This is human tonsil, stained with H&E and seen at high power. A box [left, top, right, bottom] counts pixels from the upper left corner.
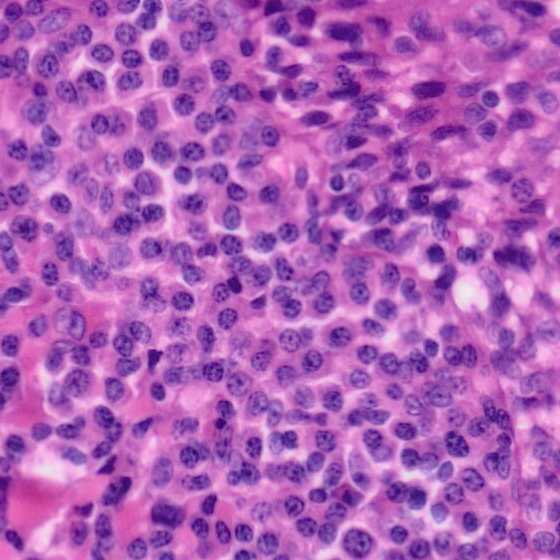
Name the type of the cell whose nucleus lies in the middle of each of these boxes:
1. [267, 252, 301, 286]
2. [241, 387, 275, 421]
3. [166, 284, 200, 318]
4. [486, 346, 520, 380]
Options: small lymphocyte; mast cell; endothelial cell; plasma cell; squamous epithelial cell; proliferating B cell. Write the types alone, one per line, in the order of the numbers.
plasma cell
plasma cell
plasma cell
squamous epithelial cell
